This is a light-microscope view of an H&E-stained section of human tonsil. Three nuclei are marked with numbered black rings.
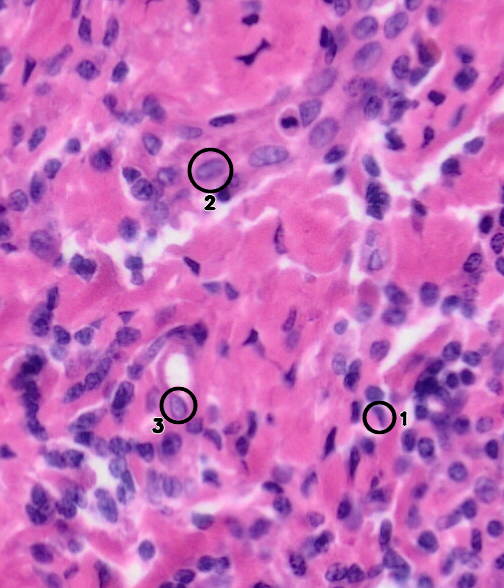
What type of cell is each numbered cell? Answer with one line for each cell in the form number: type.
1: mast cell
2: endothelial cell
3: endothelial cell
